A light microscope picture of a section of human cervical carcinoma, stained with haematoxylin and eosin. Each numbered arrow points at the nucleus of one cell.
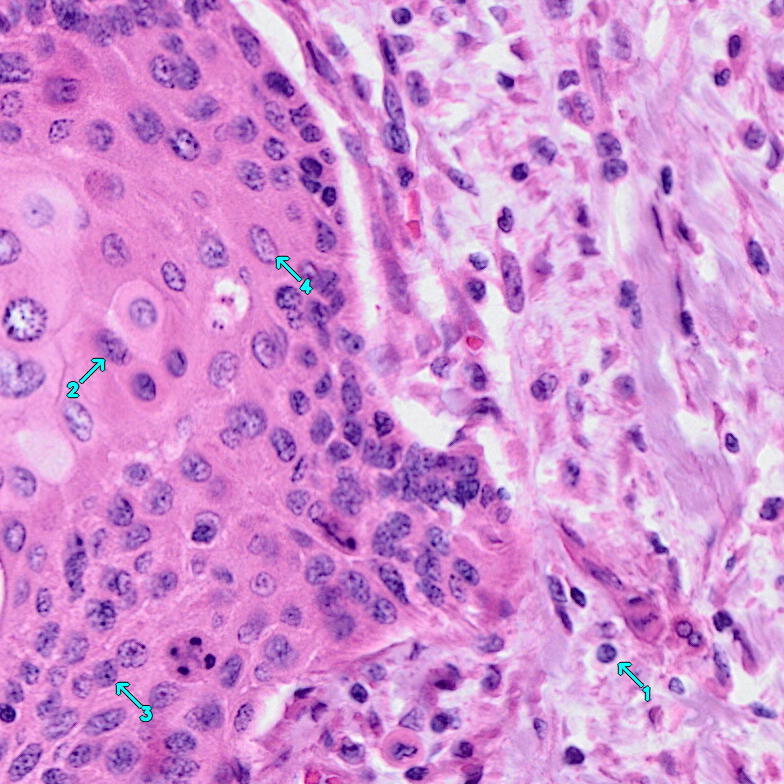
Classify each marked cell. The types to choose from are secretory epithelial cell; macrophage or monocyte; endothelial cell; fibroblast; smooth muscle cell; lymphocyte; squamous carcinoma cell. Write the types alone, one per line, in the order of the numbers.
lymphocyte
squamous carcinoma cell
squamous carcinoma cell
squamous carcinoma cell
